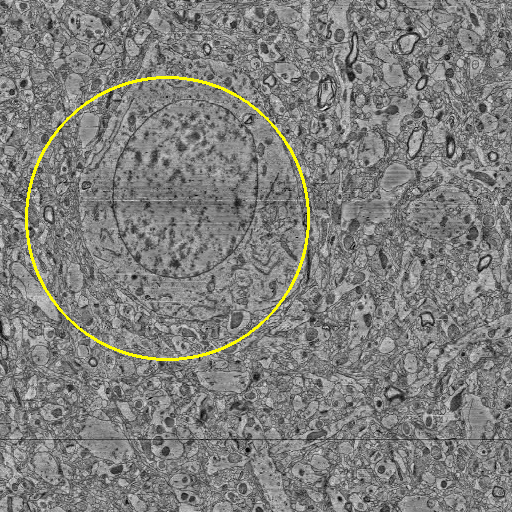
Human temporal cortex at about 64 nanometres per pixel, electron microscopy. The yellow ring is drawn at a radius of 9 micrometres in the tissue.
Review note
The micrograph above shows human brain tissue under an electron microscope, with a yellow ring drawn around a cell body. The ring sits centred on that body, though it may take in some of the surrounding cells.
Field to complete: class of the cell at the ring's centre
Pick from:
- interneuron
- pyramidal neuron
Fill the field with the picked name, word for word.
pyramidal neuron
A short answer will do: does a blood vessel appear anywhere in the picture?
No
